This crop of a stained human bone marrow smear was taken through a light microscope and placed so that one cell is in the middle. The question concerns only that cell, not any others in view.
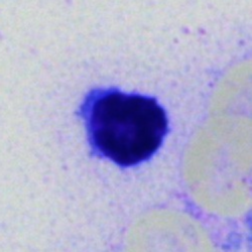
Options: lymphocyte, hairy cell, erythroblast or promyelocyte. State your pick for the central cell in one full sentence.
Answering briefly, the cell in the middle is a lymphocyte.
